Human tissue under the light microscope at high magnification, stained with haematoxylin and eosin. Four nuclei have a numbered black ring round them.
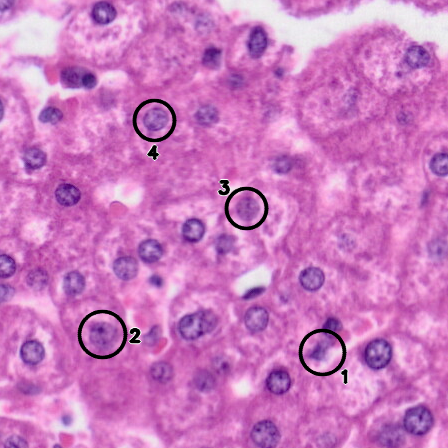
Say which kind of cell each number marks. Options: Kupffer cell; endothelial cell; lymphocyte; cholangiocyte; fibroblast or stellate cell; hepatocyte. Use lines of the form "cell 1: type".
cell 1: Kupffer cell
cell 2: hepatocyte
cell 3: hepatocyte
cell 4: hepatocyte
